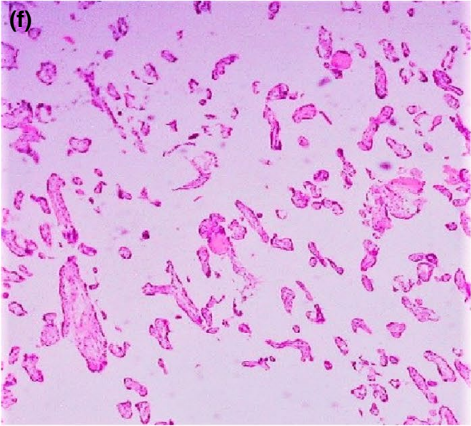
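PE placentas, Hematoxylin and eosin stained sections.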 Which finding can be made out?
Thin and elongated villi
